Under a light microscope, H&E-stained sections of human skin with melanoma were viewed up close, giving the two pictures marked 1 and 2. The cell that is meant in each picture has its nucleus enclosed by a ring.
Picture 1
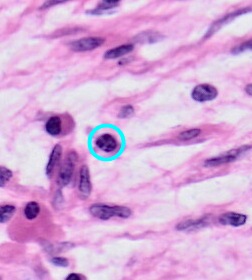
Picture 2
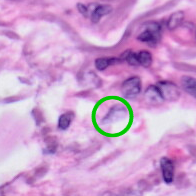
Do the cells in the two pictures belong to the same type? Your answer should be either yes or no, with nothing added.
no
